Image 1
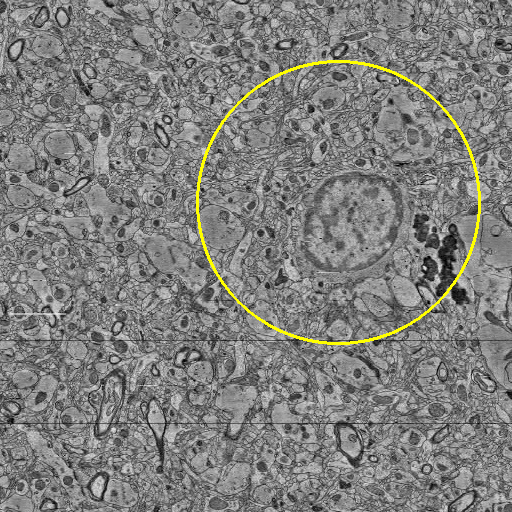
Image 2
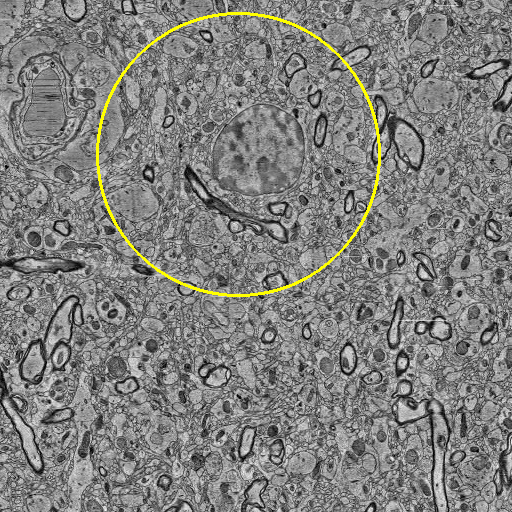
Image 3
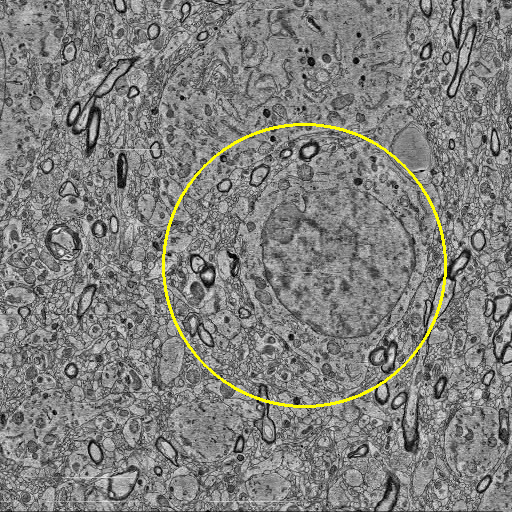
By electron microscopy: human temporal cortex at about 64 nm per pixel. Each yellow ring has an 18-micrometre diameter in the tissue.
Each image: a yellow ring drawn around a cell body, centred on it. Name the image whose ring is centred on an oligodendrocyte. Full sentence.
That is Image 1.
